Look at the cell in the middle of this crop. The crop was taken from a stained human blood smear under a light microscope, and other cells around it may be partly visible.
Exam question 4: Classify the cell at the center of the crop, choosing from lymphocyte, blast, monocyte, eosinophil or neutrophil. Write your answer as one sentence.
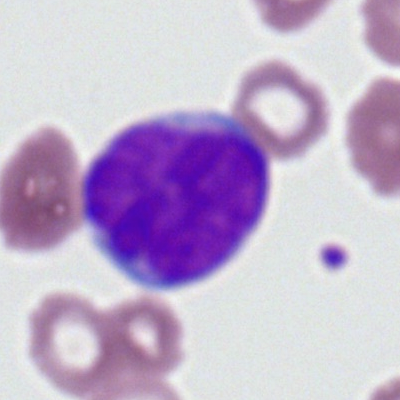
For this crop, the central cell is a blast.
